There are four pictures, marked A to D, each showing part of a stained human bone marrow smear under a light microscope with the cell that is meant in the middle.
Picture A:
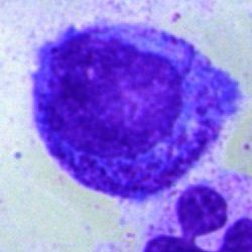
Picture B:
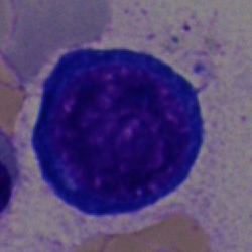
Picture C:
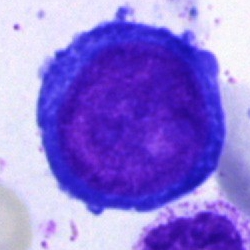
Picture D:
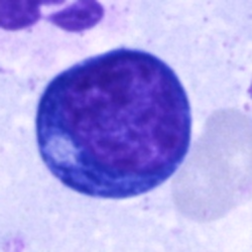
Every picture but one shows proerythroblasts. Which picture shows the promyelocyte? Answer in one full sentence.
Picture A shows the promyelocyte.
